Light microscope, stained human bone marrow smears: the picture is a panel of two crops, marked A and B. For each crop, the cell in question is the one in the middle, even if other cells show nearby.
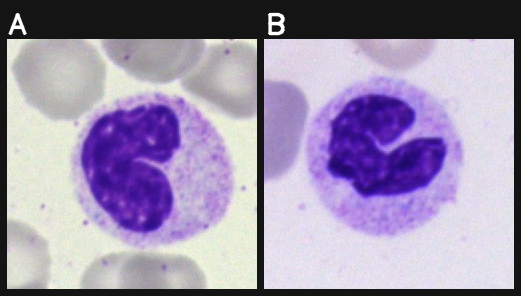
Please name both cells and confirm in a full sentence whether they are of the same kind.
Yes, both the first crop and the second crop show band neutrophils.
